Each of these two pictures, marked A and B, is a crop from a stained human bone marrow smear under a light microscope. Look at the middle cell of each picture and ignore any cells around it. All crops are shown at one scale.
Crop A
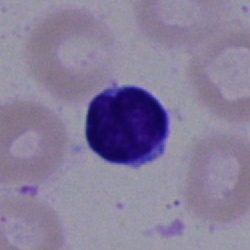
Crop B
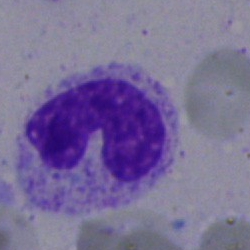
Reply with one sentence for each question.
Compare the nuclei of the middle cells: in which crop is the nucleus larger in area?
Crop B shows the larger nucleus; it covers about 2 times the area of the nucleus in crop A.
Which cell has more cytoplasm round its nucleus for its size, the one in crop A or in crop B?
It is the cell in crop B that is filled less by its nucleus.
